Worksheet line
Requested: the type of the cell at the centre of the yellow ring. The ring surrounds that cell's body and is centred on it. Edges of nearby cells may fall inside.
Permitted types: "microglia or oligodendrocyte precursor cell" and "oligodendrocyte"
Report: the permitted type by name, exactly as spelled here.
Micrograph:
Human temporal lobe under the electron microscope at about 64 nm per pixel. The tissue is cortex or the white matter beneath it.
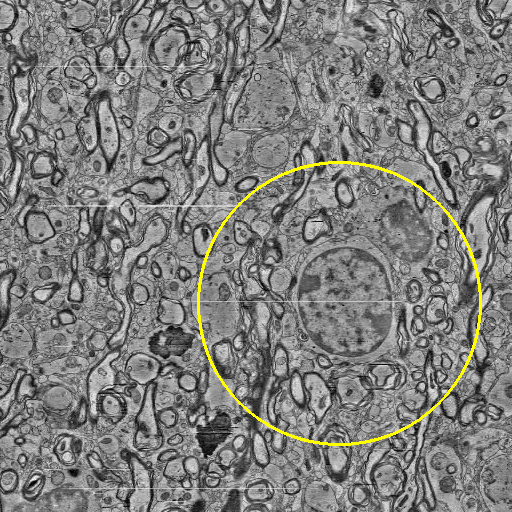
microglia or oligodendrocyte precursor cell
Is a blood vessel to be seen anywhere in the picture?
No, no blood vessel can be seen.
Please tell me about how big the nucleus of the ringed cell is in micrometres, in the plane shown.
In this plane, the nucleus of the cell at the centre of the ring measures about 8 by 7 micrometres.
